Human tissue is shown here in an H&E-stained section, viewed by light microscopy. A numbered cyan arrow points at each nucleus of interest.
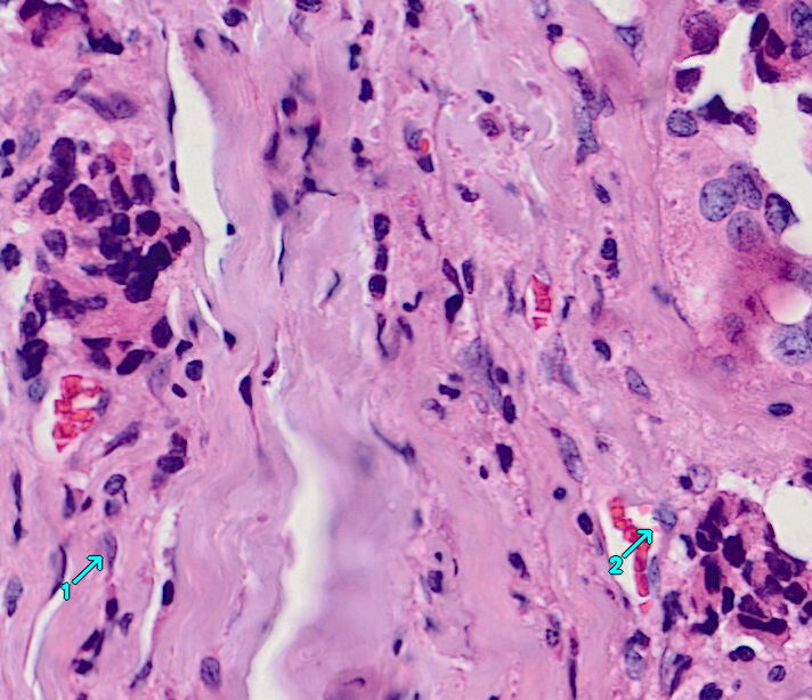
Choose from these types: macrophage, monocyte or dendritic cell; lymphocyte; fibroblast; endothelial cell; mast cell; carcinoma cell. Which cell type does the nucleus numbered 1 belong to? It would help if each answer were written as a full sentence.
Denoted by the label 1 in the section is a fibroblast.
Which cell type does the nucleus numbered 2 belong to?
Among the marked cells, number 2 is an endothelial cell.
